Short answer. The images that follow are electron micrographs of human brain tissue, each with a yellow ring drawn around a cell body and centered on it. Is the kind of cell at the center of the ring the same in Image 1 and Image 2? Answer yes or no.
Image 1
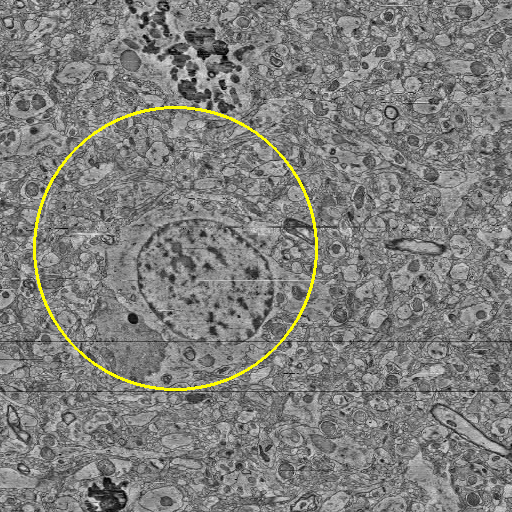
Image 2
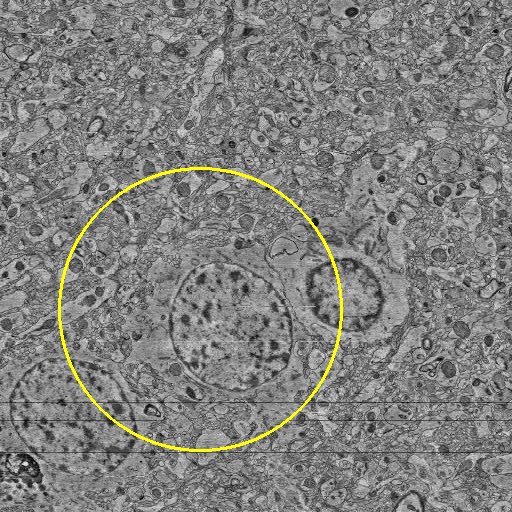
yes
